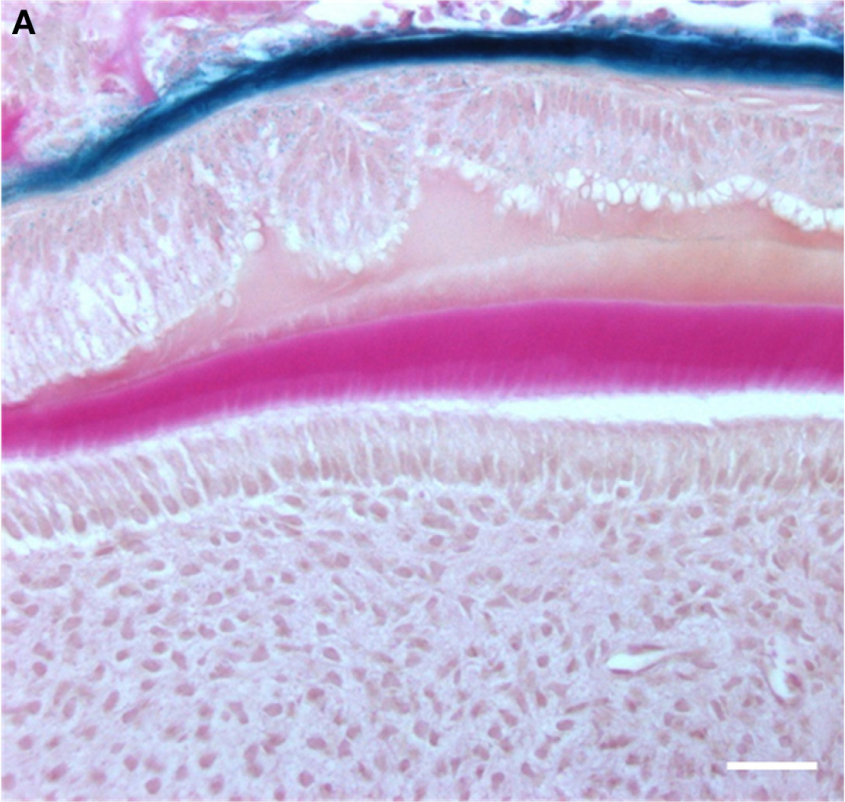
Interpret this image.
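This is part of a developing tooth, with the epithelial cells of the enamel organ in the upper half of the field. Across the middle runs a thick, even band of deep pink matrix. Beneath it lies a neat row of tall, closely packed cells, and below that a dense tissue of many ovoid, evenly scattered nuclei. Above the pink band, by contrast, the epithelial layer is disordered. Its cells no longer stand in a regular row. They are broken up by gaps and rounded clear spaces, with a pale pink zone between them and the matrix. At the top, a dark blue-green band runs along the edge of the tissue.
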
